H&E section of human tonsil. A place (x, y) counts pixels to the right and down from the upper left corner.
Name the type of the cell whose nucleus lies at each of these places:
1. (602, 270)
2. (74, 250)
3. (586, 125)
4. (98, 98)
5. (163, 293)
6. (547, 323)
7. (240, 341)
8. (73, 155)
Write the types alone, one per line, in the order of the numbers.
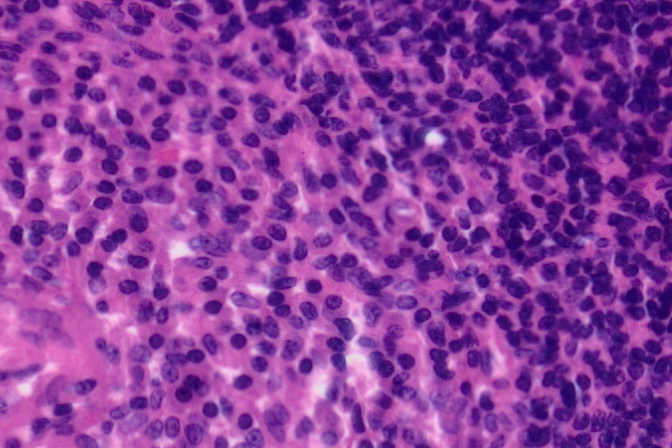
small lymphocyte
plasma cell
small lymphocyte
plasma cell
plasma cell
small lymphocyte
plasma cell
plasma cell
